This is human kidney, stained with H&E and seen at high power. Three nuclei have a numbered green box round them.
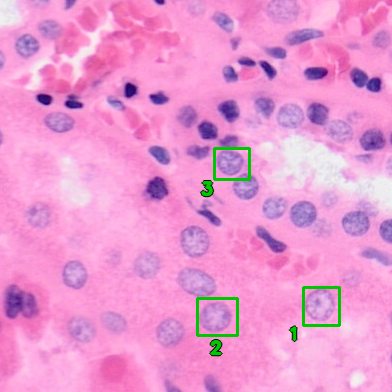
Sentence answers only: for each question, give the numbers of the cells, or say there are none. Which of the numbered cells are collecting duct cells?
Cell 3 is a collecting duct cell and is the only numbered cell of that kind.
